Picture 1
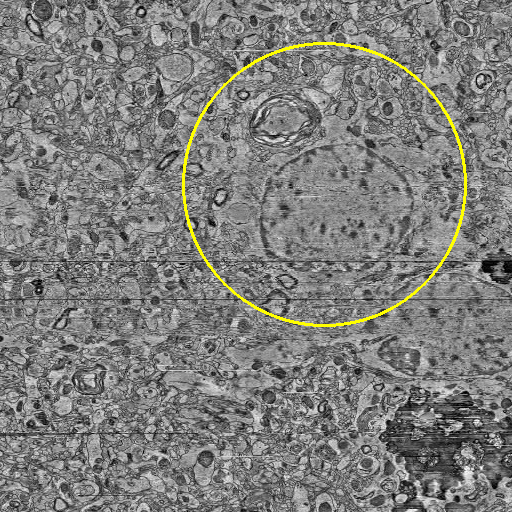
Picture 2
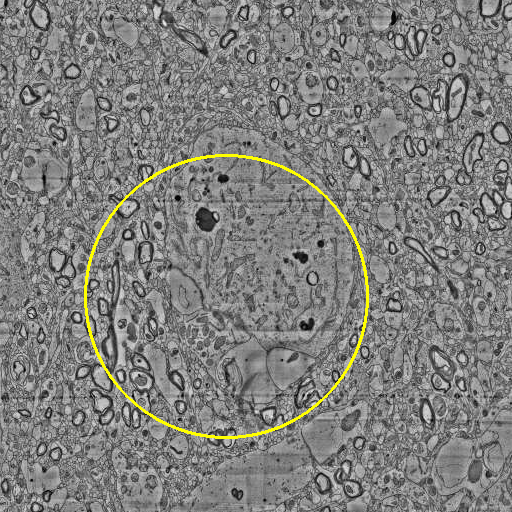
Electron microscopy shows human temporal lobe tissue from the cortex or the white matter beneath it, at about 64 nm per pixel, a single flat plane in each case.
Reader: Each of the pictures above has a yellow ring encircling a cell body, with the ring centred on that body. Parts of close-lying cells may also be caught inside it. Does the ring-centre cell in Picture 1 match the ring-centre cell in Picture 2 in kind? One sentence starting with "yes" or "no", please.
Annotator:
No, Picture 1 and Picture 2 show ring-centre cells of two kinds.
